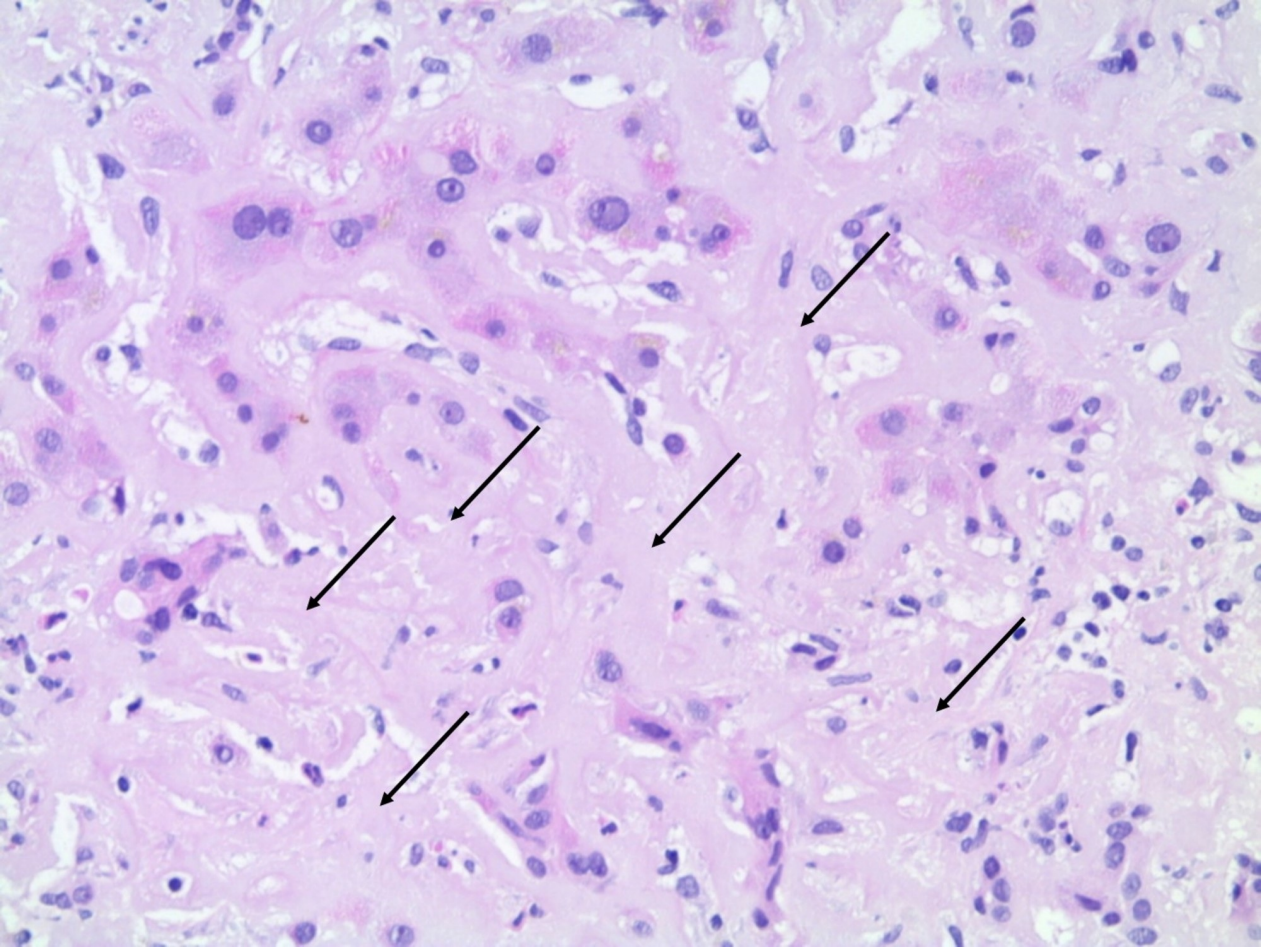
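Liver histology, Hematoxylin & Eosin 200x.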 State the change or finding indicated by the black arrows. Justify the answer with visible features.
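The arrows point to broad pale pink, homogeneous, acellular material. This material lies between and around the cords of large pink cells. Few nuclei lie within the pale pink material. So: amyloid deposition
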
